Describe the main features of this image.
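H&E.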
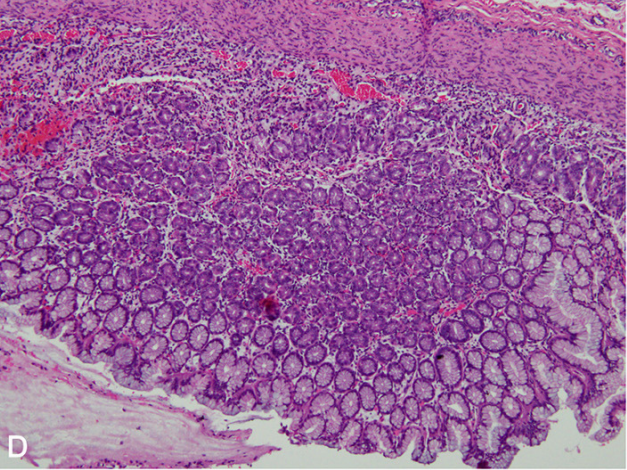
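This is colonic mucosal tissue lying beneath a layer of smooth muscle. The mucosa is packed with regular round to oval crypts cut in cross-section and lengthwise. A cellular lamina propria with scattered small vessels fills the spaces between crypts. A pink band of spindle-shaped smooth muscle cells runs along the top edge.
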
